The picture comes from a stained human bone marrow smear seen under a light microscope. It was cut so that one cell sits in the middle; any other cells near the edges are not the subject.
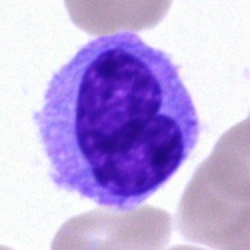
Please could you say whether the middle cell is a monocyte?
yes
